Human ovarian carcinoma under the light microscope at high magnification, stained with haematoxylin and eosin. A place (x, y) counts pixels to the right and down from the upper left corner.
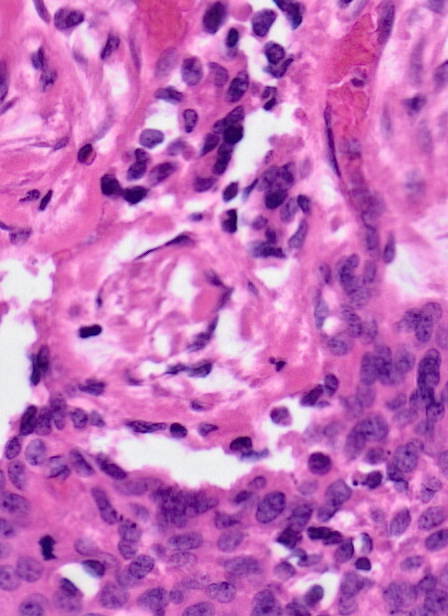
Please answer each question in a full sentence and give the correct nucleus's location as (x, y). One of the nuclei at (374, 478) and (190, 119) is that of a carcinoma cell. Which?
It is the nucleus at (374, 478), not the other one, that belongs to a carcinoma cell.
